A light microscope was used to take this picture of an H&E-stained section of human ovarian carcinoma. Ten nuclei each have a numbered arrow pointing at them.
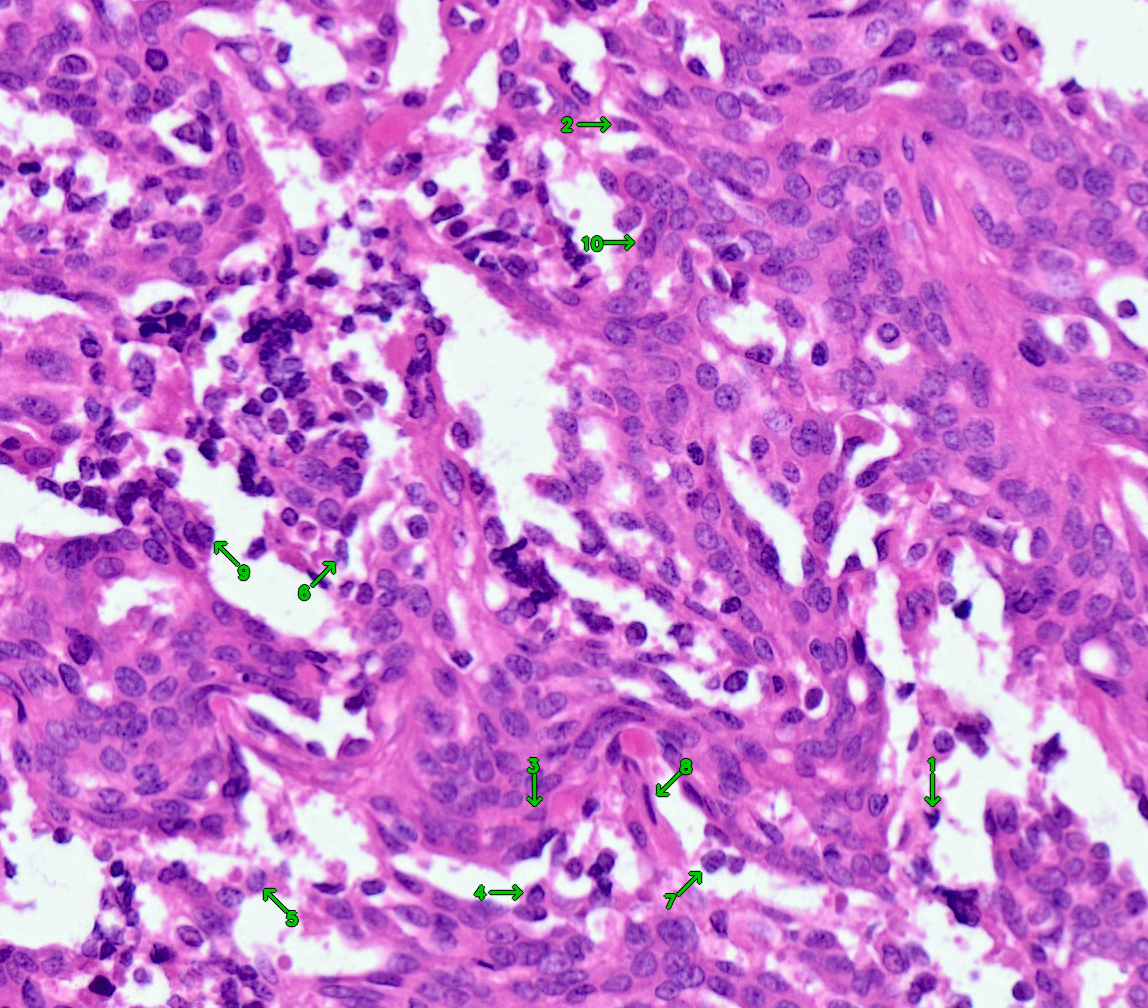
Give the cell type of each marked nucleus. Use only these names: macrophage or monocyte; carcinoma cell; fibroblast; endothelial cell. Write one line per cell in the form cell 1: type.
cell 1: macrophage or monocyte
cell 2: carcinoma cell
cell 3: carcinoma cell
cell 4: macrophage or monocyte
cell 5: macrophage or monocyte
cell 6: carcinoma cell
cell 7: carcinoma cell
cell 8: fibroblast
cell 9: carcinoma cell
cell 10: carcinoma cell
